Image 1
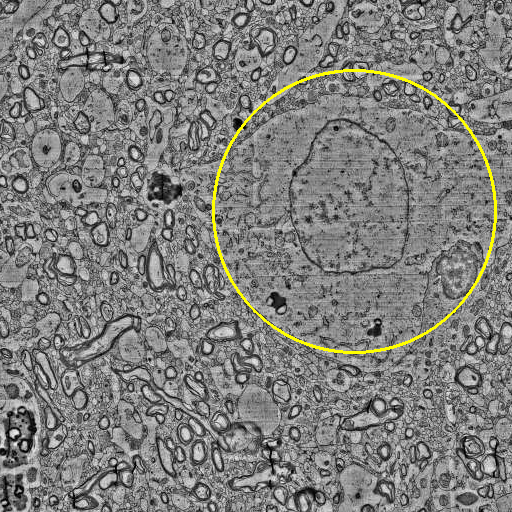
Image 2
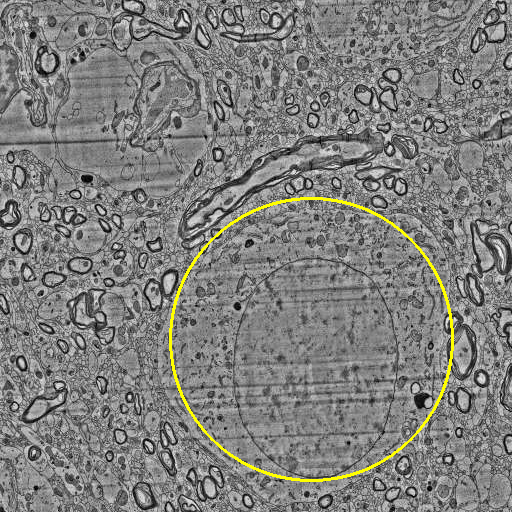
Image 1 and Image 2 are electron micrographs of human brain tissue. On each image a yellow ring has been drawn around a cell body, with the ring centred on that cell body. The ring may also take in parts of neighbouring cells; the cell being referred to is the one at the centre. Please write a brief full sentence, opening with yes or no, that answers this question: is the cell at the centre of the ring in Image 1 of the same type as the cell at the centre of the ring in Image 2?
Yes, both cells are of the same type.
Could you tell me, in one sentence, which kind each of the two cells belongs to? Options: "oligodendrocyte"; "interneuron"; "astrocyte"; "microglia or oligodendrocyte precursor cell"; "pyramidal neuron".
Both pictures show a pyramidal neuron at the centre of the ring.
